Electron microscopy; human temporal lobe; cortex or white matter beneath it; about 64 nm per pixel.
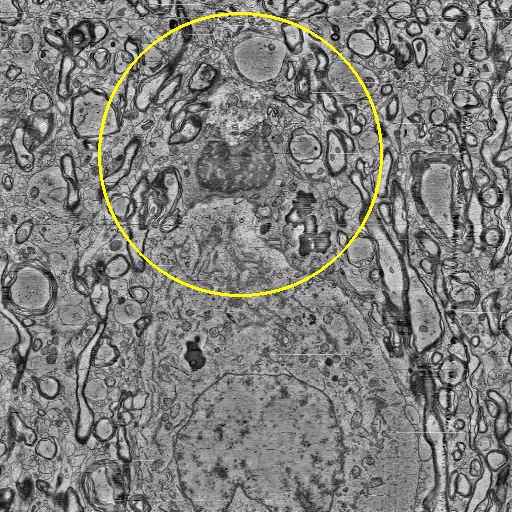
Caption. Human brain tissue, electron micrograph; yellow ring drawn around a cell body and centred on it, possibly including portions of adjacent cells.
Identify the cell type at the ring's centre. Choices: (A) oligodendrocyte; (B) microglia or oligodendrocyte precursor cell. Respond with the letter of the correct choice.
A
